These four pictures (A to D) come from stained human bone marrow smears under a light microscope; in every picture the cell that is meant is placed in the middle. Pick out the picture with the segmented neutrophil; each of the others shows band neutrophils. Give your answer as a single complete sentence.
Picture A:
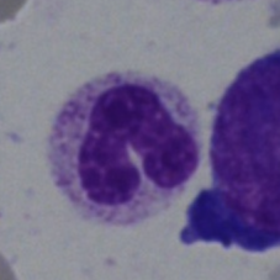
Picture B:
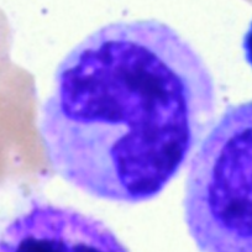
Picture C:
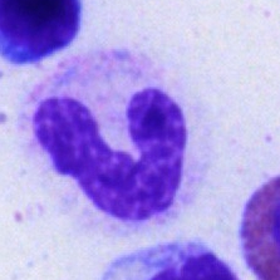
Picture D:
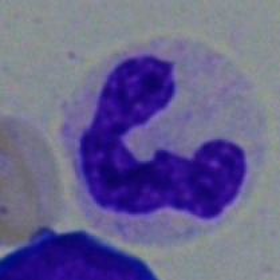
Picture D is the one that shows the segmented neutrophil.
